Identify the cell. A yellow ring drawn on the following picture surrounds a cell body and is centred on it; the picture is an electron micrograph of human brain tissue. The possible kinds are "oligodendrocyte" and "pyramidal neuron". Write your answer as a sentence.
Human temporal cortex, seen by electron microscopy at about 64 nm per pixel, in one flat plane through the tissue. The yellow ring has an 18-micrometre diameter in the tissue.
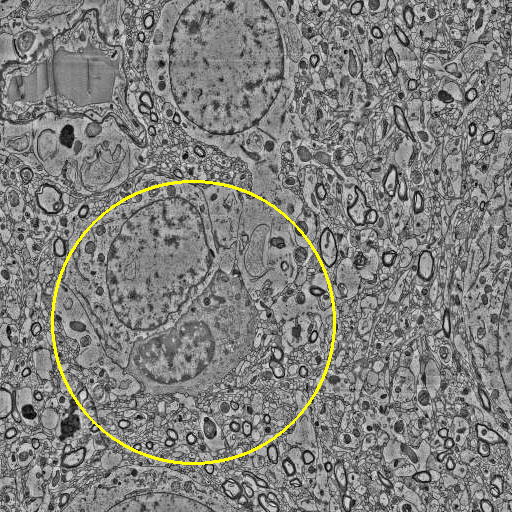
The cell identified by the ring is an oligodendrocyte.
